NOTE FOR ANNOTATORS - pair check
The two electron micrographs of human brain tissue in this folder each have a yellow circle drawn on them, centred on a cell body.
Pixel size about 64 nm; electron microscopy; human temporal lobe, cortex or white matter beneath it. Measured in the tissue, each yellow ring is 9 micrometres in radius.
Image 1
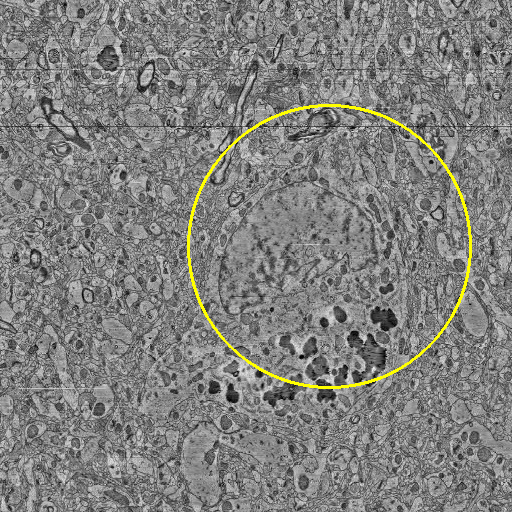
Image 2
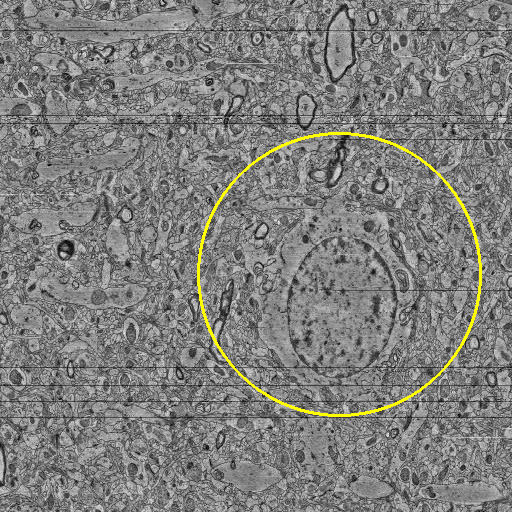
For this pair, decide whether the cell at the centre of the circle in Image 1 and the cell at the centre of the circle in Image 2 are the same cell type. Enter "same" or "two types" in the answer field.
two types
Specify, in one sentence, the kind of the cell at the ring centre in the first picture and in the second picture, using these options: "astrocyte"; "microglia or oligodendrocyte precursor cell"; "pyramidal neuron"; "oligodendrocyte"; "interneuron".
So the first is an interneuron, the second an astrocyte.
